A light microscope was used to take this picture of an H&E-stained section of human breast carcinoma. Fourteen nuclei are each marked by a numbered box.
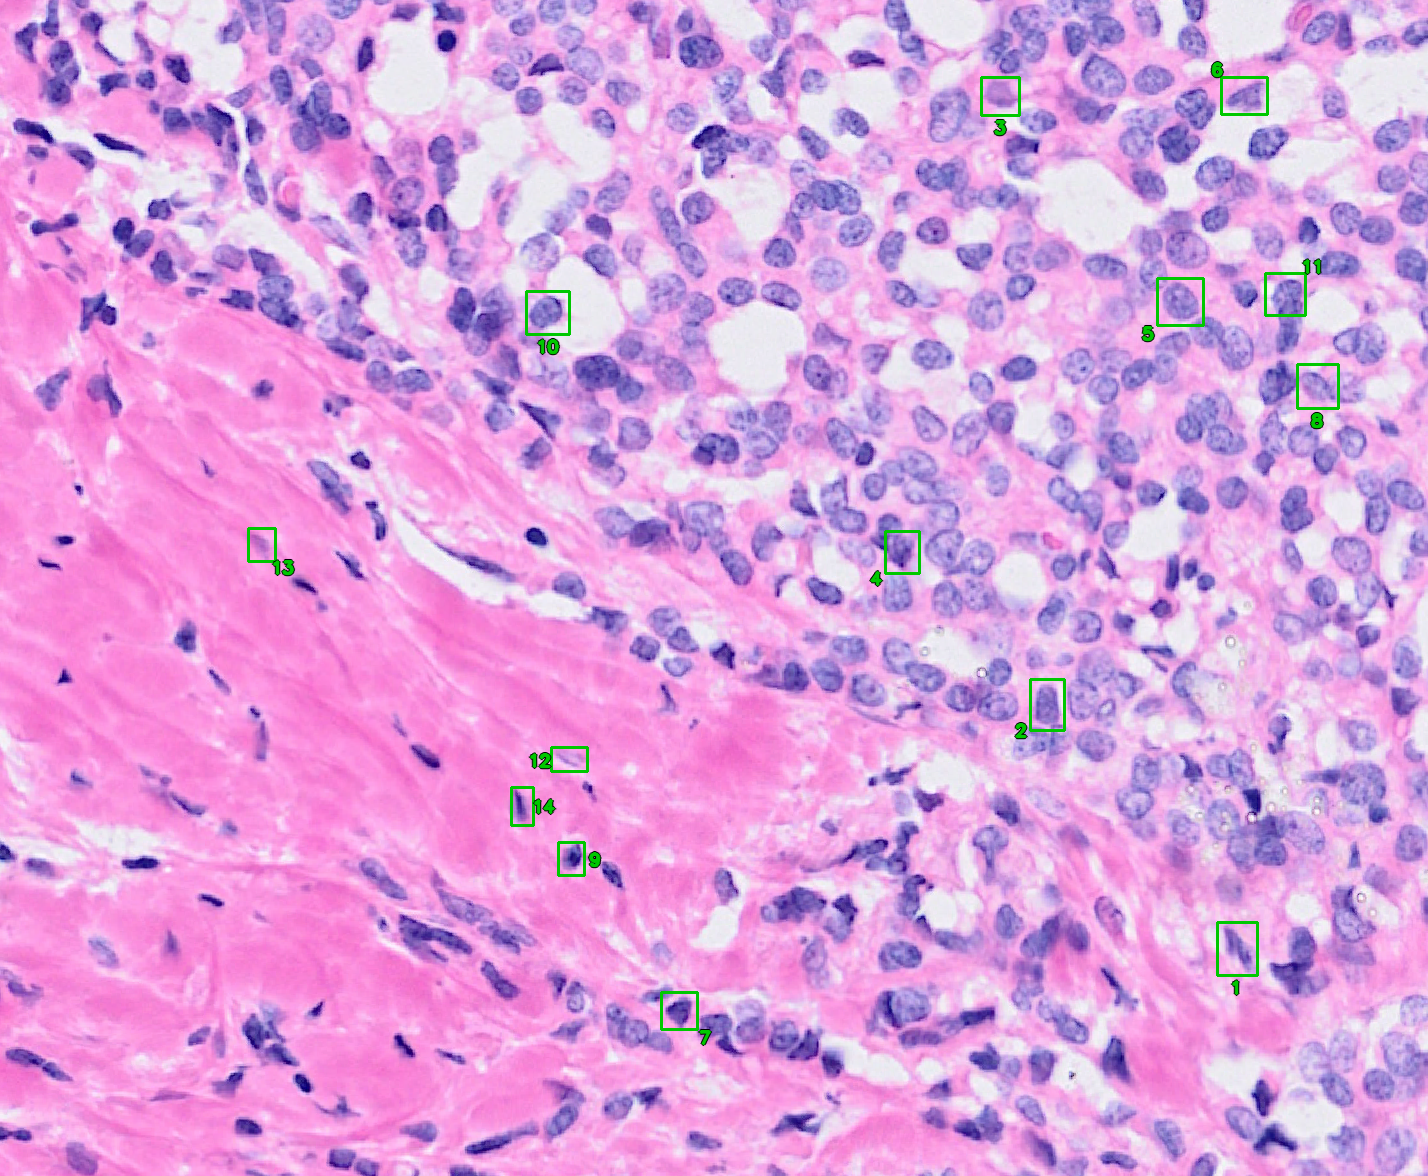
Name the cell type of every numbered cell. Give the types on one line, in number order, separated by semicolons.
fibroblast; carcinoma cell; carcinoma cell; carcinoma cell; carcinoma cell; carcinoma cell; lymphocyte; carcinoma cell; lymphocyte; carcinoma cell; carcinoma cell; fibroblast; fibroblast; fibroblast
